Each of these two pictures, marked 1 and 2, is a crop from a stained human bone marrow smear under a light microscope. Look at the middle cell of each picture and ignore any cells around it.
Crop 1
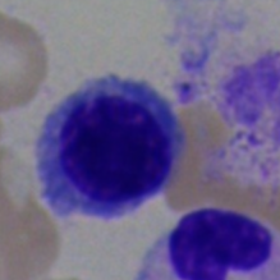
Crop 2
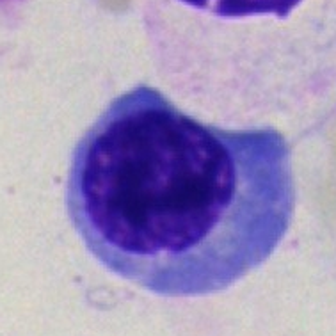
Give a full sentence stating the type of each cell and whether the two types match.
Yes, in the middle of both crops, normoblasts are shown.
